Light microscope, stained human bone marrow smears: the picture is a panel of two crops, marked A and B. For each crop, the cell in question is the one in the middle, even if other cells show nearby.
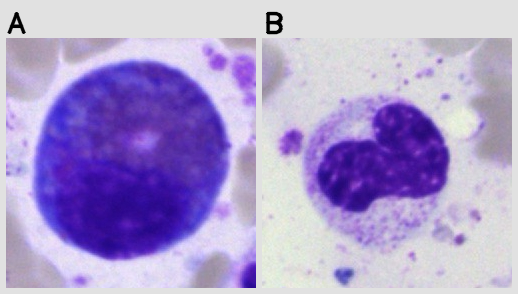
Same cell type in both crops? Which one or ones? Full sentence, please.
No, crop A shows an eosinophil, and crop B, by contrast, shows a band neutrophil.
